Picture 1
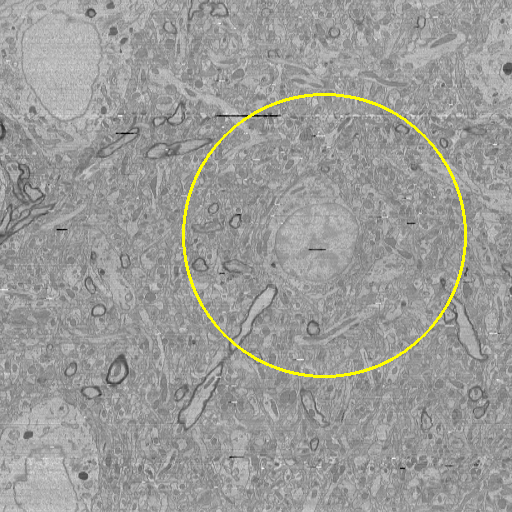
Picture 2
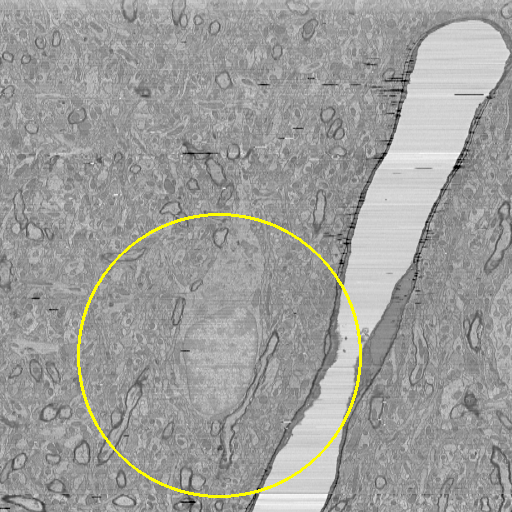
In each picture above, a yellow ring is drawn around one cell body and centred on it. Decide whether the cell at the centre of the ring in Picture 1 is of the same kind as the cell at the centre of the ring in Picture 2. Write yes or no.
yes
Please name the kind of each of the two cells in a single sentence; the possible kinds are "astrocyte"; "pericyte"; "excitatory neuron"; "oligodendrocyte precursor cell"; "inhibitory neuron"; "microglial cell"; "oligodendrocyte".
In both pictures the ring is centred on an oligodendrocyte.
